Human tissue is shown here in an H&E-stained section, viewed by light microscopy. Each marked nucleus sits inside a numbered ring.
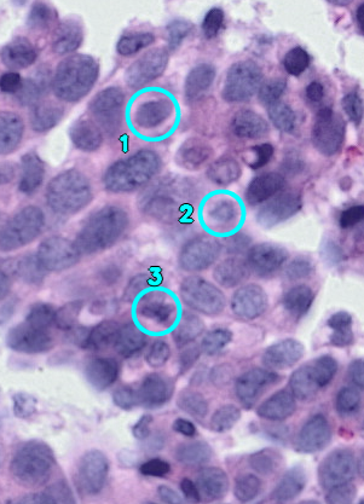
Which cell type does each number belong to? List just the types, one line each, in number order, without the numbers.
carcinoma cell
macrophage or monocyte
carcinoma cell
